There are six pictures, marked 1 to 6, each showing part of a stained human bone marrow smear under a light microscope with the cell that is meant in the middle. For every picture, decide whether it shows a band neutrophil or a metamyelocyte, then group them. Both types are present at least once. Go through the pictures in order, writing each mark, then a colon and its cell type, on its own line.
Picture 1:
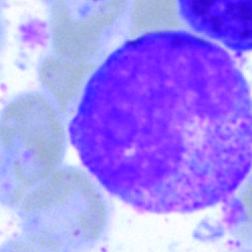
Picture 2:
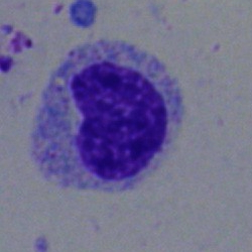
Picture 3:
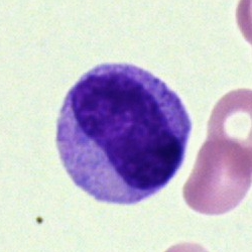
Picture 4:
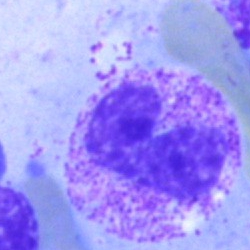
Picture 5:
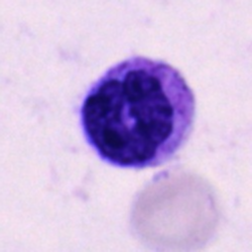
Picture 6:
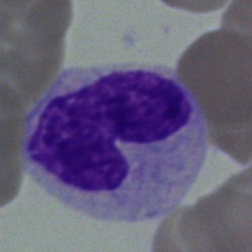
1: metamyelocyte
2: metamyelocyte
3: metamyelocyte
4: band neutrophil
5: band neutrophil
6: band neutrophil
